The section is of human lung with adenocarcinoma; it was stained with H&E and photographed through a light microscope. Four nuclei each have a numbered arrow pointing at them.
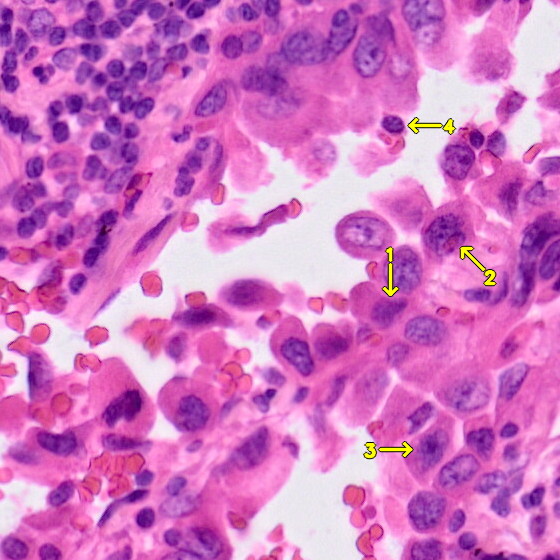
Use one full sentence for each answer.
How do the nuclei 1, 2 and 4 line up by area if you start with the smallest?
By area, going up from the smallest, they rank 4, 1, 2.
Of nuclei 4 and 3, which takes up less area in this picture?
With nucleus 3 about 3 times its size, nucleus 4 is the smaller of the two.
